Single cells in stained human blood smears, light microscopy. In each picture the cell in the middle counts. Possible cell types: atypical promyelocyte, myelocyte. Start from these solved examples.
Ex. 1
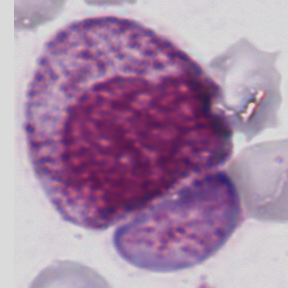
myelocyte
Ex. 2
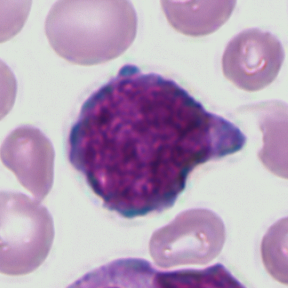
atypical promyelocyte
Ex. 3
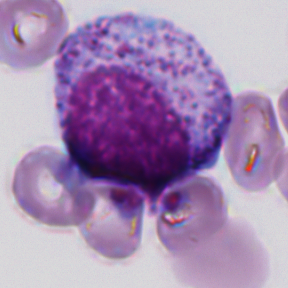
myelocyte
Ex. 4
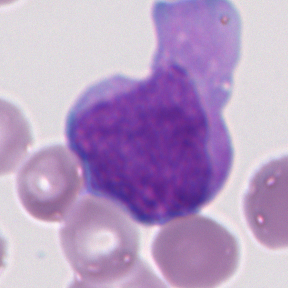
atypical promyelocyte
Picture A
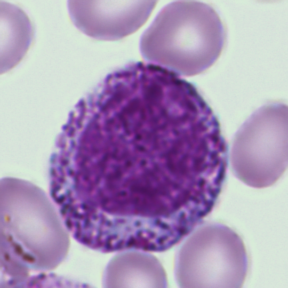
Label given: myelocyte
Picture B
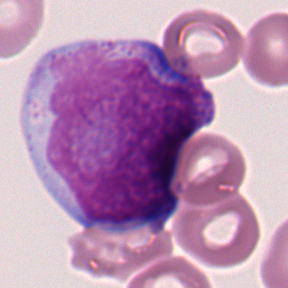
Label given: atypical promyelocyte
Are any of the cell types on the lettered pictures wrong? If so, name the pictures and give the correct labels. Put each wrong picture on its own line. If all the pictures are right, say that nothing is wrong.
All correct.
